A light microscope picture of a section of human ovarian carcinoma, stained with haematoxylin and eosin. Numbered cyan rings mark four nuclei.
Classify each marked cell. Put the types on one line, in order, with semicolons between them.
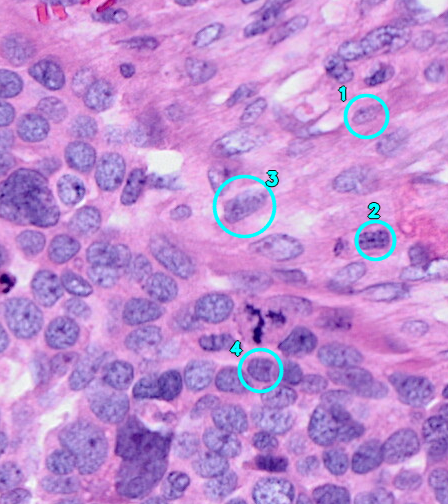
fibroblast; macrophage or monocyte; fibroblast; carcinoma cell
